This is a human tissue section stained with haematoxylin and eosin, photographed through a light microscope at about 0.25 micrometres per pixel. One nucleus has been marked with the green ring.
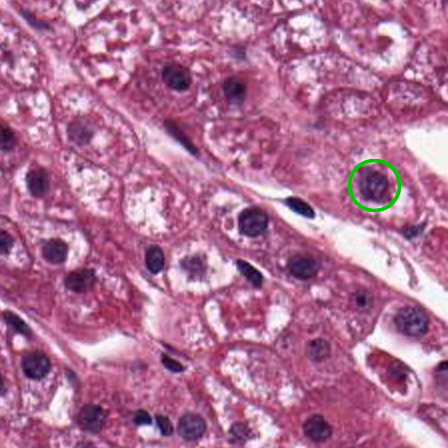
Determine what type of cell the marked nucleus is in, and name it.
adrenal cortical cell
